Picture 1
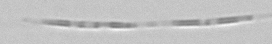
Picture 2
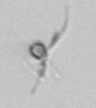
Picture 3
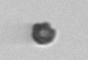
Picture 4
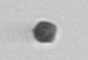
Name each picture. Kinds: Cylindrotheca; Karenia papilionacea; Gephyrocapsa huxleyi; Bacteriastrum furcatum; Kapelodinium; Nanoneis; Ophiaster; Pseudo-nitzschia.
Picture 1: Pseudo-nitzschia
Picture 2: Ophiaster
Picture 3: Gephyrocapsa huxleyi
Picture 4: Gephyrocapsa huxleyi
